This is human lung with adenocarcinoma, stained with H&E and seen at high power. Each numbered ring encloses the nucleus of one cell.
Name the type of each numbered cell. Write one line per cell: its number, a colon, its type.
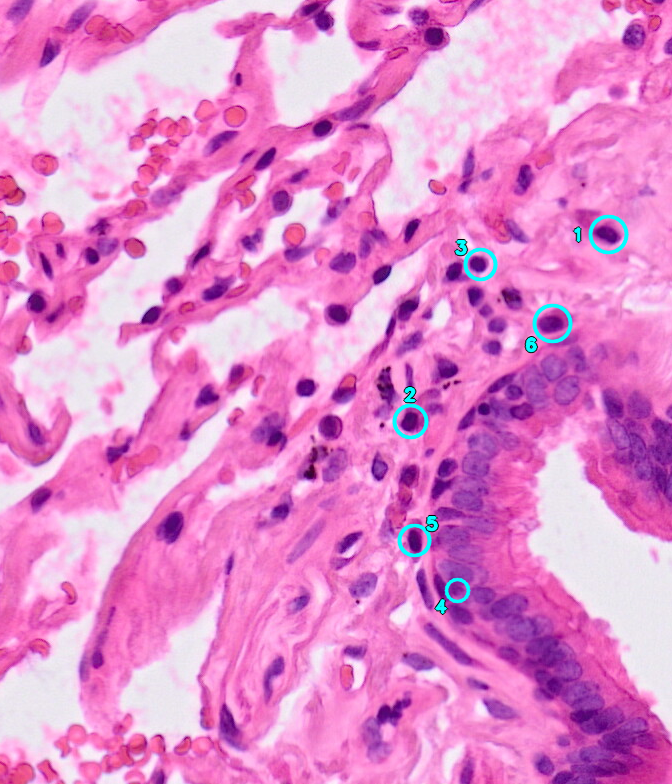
1: plasma cell
2: plasma cell
3: lymphocyte
4: ciliated epithelial cell
5: plasma cell
6: plasma cell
